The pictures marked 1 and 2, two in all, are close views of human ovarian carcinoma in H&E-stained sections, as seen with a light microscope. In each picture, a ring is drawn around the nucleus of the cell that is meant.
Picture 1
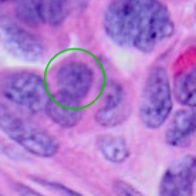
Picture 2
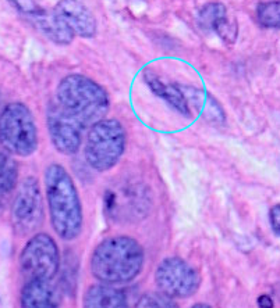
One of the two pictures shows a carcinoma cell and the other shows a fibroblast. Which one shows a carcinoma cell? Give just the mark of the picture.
1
